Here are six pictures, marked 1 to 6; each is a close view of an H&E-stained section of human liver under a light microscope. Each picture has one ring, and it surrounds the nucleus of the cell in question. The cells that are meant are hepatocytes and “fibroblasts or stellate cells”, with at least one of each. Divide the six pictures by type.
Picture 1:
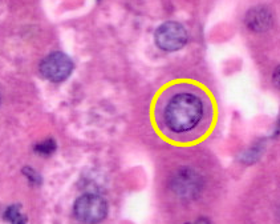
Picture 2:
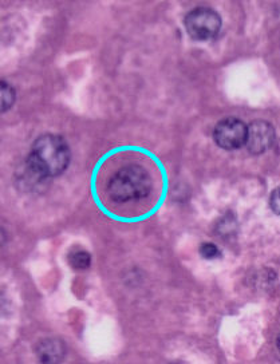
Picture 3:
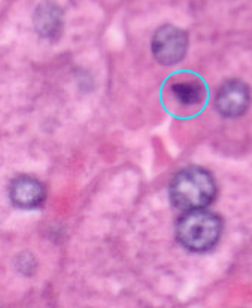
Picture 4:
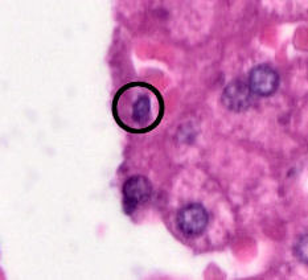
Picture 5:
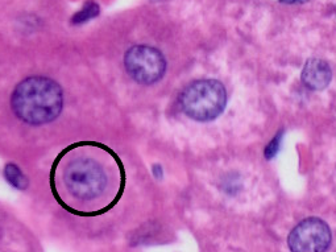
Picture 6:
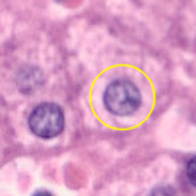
1: hepatocyte
2: hepatocyte
3: fibroblast or stellate cell
4: fibroblast or stellate cell
5: hepatocyte
6: hepatocyte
